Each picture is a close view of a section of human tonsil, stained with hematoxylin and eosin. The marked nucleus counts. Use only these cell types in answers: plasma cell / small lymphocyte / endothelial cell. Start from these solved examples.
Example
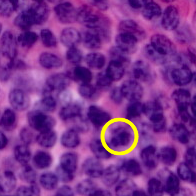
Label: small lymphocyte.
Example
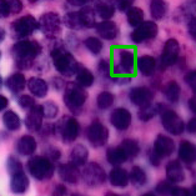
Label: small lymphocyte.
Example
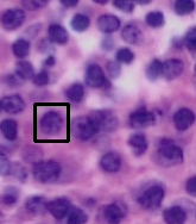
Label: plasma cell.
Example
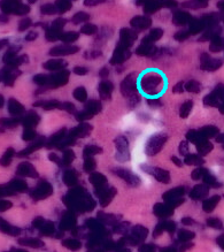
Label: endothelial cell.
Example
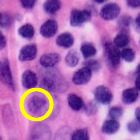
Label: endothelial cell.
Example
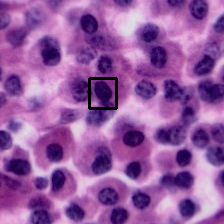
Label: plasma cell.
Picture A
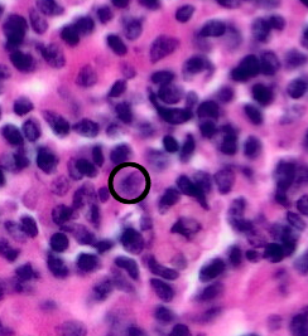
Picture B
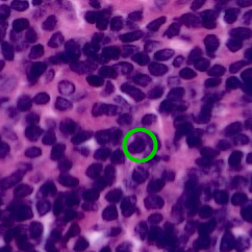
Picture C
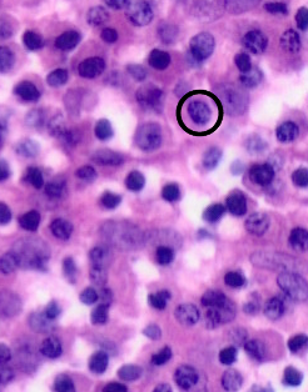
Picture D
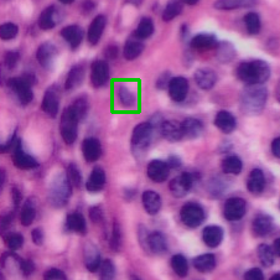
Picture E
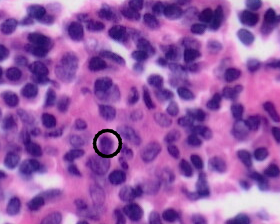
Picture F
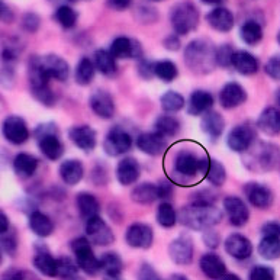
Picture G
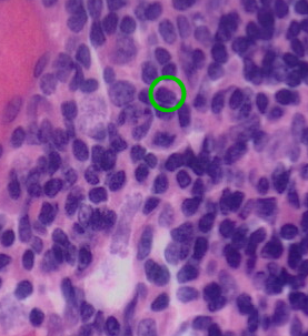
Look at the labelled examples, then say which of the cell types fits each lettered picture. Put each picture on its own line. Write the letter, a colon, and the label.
A: endothelial cell.
B: small lymphocyte.
C: plasma cell.
D: endothelial cell.
E: endothelial cell.
F: small lymphocyte.
G: small lymphocyte.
